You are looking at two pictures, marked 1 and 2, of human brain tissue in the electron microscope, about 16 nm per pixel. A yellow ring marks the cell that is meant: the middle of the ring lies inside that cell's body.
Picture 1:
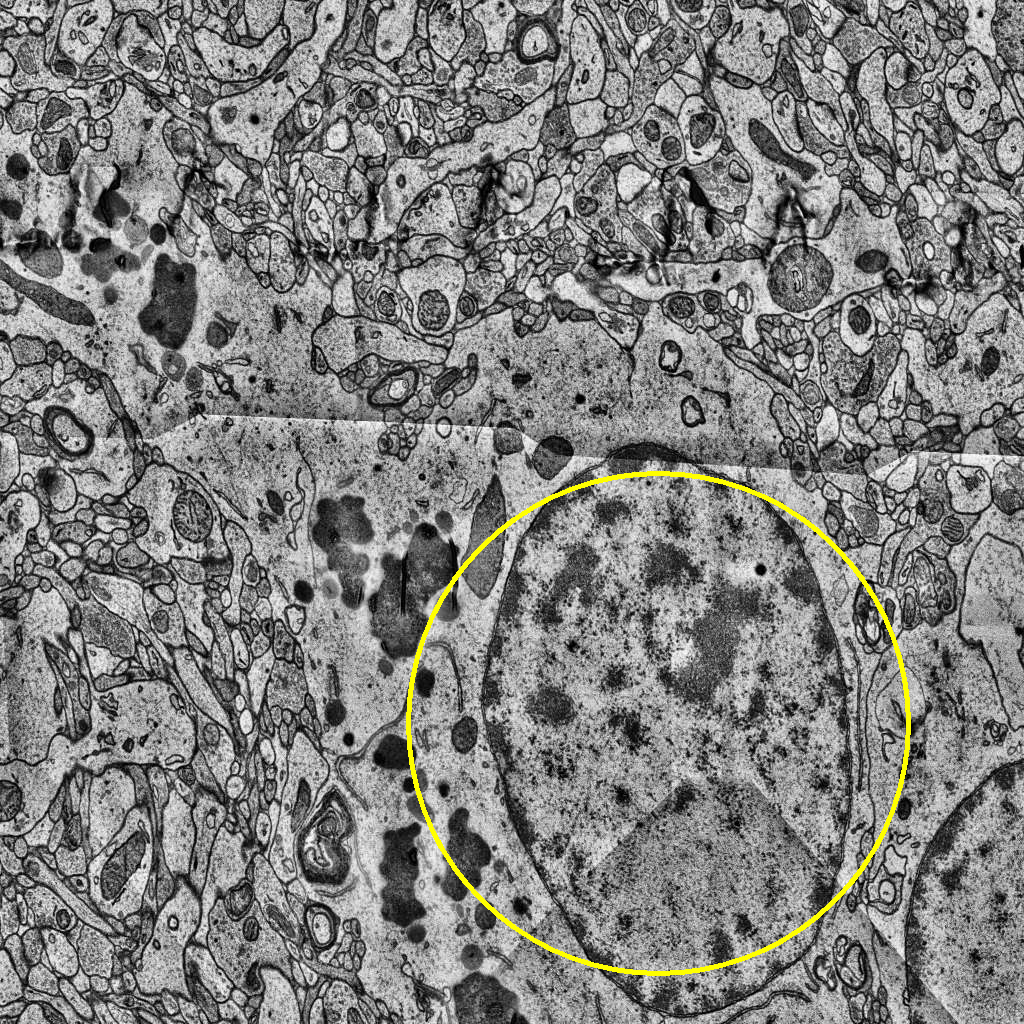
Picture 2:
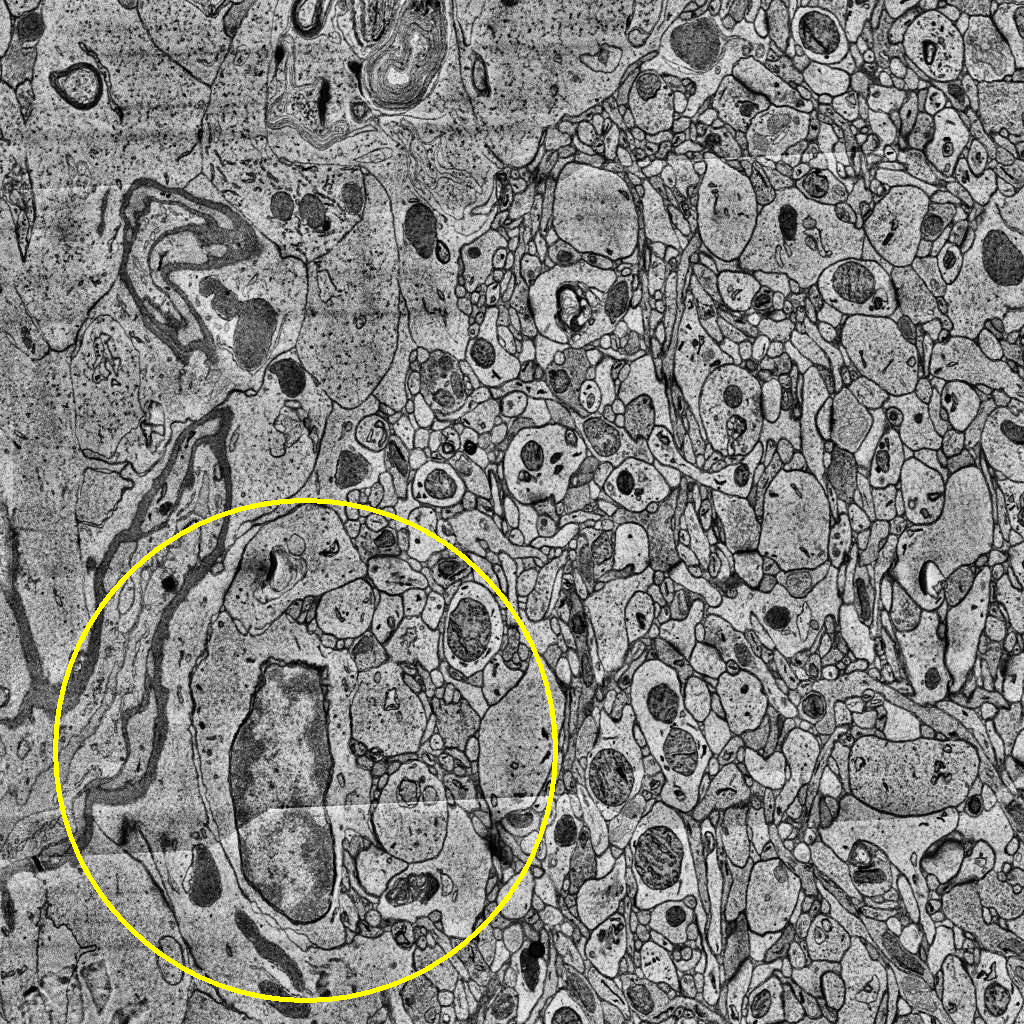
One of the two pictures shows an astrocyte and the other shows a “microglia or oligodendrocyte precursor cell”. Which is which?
The cell in picture 1 is an astrocyte, and the one in picture 2 is a “microglia or oligodendrocyte precursor cell”.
